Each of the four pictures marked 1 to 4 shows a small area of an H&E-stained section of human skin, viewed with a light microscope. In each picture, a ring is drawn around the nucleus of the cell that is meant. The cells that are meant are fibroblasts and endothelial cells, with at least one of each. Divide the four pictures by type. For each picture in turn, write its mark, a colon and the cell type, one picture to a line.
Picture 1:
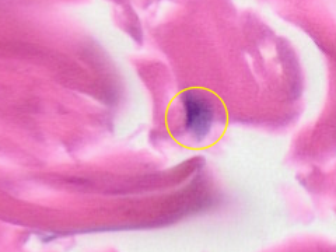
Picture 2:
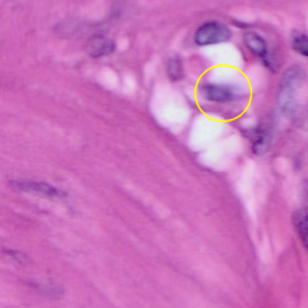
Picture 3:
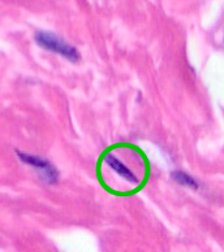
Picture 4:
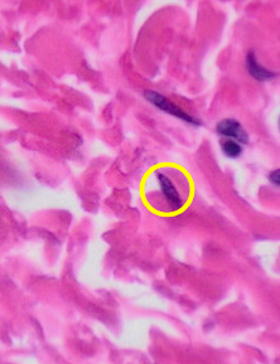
1: fibroblast
2: endothelial cell
3: fibroblast
4: fibroblast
